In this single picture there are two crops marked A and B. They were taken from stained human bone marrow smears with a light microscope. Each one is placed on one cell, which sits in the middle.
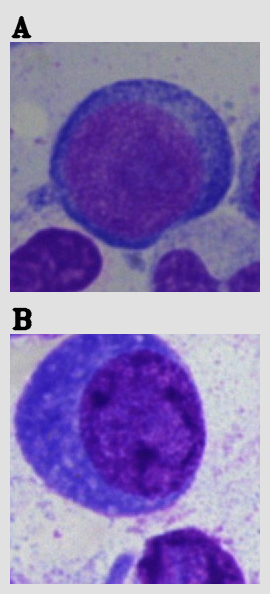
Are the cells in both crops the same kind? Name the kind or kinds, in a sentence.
No, crop A features a proerythroblast, while crop B features a plasma cell.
